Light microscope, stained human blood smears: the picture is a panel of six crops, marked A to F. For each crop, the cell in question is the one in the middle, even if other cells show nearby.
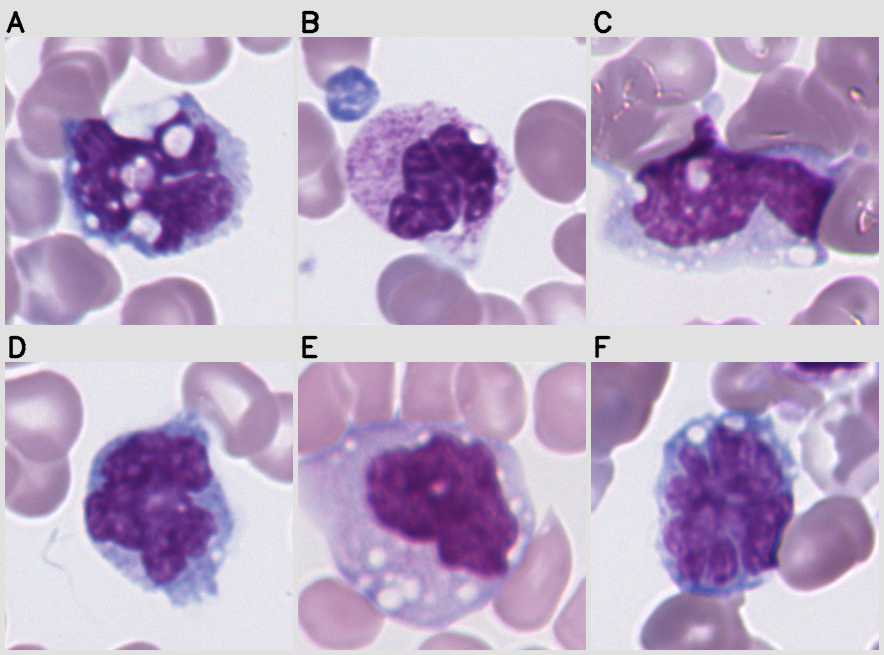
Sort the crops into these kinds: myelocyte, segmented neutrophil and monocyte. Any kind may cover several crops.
A: monocyte
B: segmented neutrophil
C: monocyte
D: monocyte
E: monocyte
F: monocyte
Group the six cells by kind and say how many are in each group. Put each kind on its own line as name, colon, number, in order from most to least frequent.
monocyte: 5
segmented neutrophil: 1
